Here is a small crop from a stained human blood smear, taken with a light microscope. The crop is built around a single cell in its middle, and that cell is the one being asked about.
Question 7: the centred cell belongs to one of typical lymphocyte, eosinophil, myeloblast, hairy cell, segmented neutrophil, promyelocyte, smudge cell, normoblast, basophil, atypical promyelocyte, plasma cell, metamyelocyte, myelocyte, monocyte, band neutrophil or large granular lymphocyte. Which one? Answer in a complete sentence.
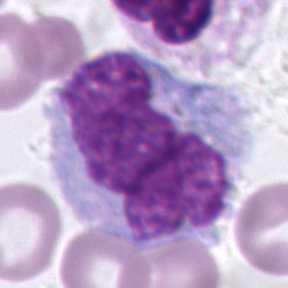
The cell that lies at the centre of the crop is a monocyte.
